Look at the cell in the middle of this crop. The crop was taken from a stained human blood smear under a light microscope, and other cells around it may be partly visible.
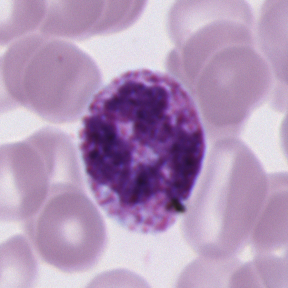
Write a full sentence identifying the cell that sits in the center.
The centrally located cell in the crop is a basophil.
